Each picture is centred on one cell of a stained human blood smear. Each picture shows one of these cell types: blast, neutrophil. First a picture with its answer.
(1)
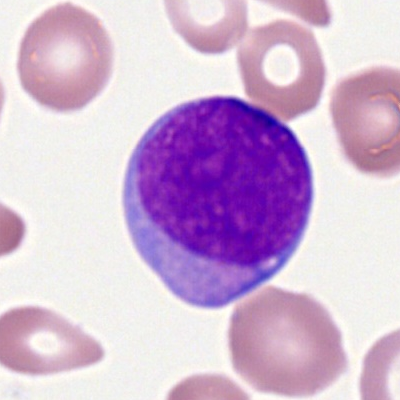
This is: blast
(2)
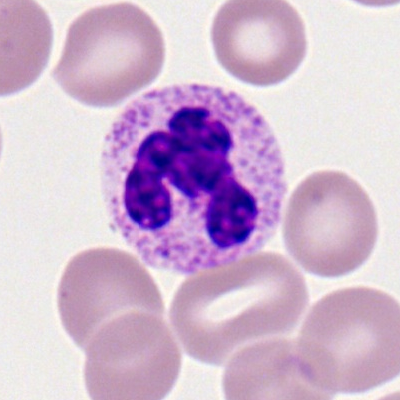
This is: neutrophil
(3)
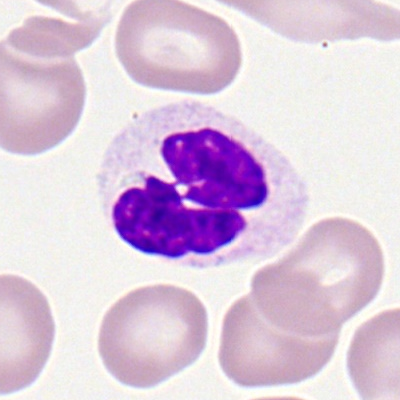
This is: neutrophil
